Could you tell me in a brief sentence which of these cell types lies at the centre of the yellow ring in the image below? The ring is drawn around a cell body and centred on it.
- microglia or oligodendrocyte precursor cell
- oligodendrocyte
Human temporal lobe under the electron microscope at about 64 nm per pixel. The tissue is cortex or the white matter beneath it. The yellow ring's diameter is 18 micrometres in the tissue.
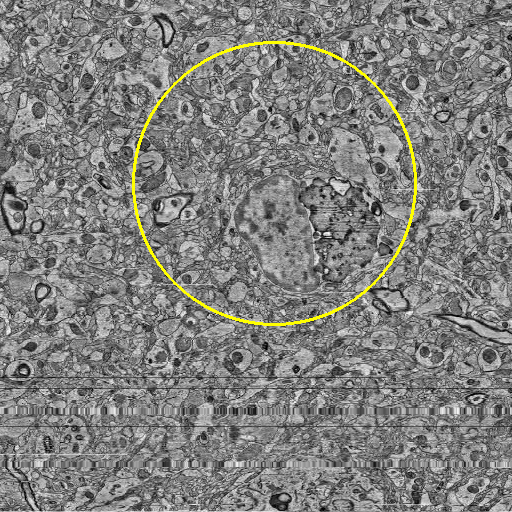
The cell centred in the ring is a microglial cell or oligodendrocyte precursor cell.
